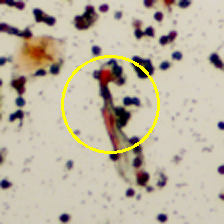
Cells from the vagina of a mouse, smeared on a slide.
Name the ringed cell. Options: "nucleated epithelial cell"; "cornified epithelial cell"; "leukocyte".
cornified epithelial cell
